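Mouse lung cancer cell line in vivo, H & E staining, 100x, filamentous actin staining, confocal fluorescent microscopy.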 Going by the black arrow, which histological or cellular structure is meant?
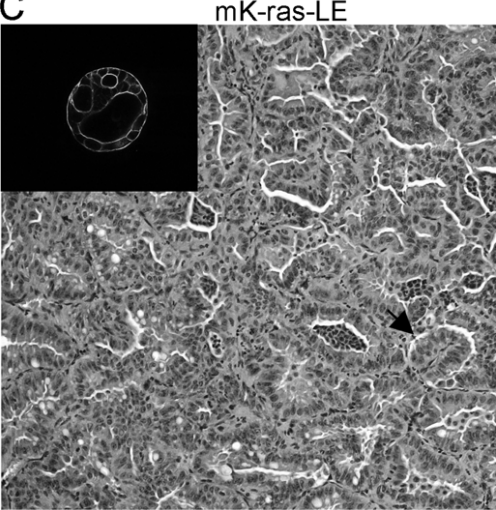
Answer: Glandular structures.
